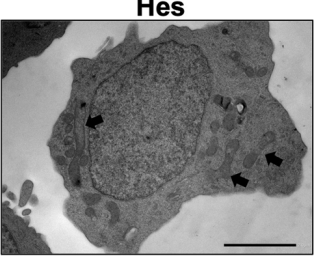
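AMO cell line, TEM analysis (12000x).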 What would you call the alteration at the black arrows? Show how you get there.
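The arrows point to dark, membrane-bound organelles in the cytoplasm around the nucleus. The marked organelles are longer than they are wide. That points to this answer: elongated mitochondria.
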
